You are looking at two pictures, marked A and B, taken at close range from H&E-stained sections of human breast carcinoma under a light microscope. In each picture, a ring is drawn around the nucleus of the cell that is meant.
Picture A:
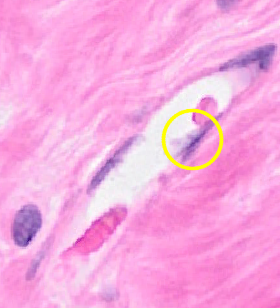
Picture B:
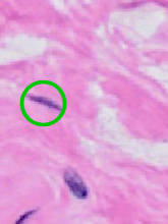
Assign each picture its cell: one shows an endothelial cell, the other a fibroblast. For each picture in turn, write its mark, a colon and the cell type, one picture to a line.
A: endothelial cell
B: fibroblast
